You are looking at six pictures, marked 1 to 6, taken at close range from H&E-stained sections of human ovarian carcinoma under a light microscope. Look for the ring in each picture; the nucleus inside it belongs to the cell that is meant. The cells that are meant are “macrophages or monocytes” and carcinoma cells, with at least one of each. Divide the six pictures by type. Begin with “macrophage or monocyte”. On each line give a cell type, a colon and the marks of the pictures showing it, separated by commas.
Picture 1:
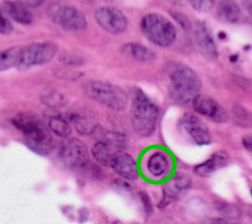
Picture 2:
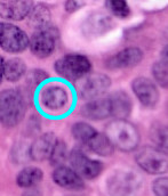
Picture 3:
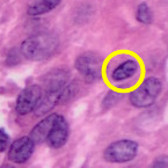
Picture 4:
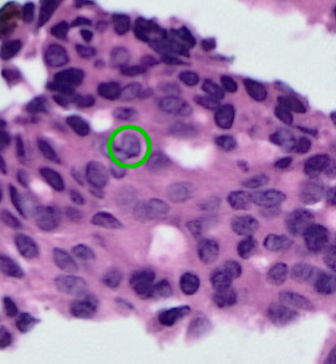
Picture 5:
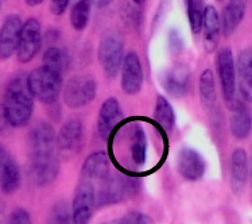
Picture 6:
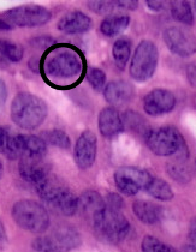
macrophage or monocyte: 1, 2, 3, 4
carcinoma cell: 5, 6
